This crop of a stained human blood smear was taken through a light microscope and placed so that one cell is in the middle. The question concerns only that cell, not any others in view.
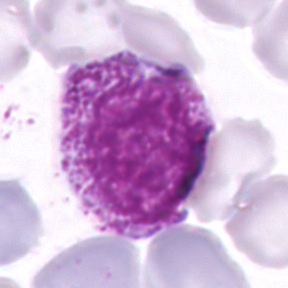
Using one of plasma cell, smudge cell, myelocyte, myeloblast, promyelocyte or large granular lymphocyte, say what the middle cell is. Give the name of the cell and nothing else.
myelocyte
